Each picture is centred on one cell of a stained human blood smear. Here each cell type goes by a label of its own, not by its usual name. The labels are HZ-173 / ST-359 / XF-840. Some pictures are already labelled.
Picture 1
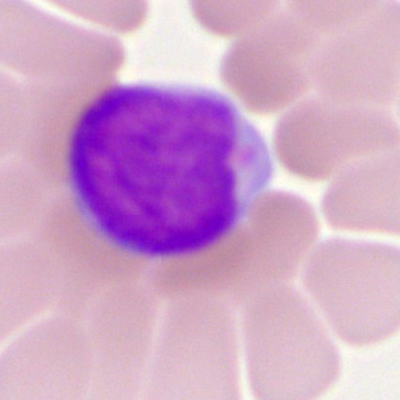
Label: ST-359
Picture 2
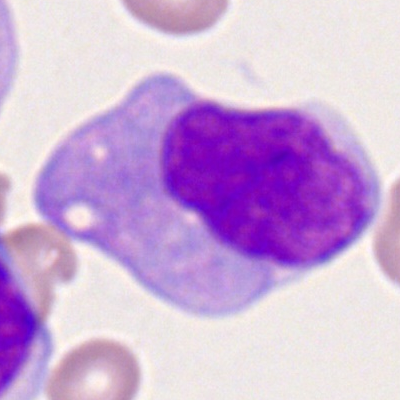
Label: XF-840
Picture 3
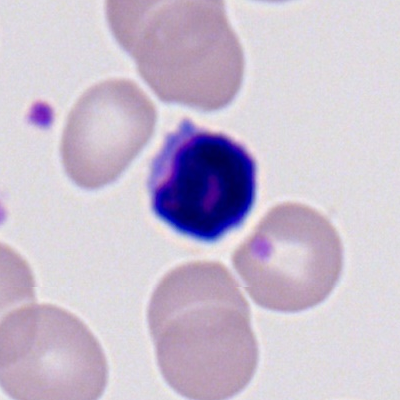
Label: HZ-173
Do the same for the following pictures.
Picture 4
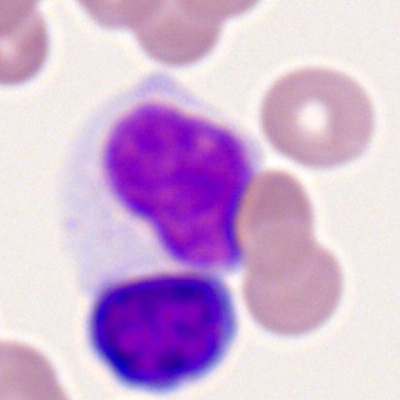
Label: HZ-173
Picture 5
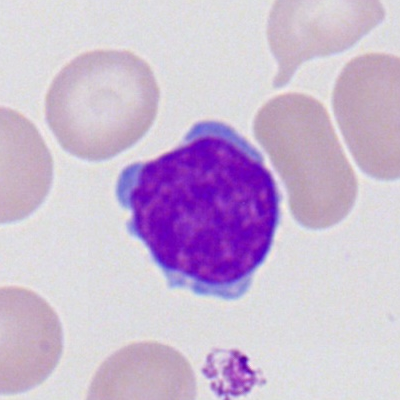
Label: HZ-173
